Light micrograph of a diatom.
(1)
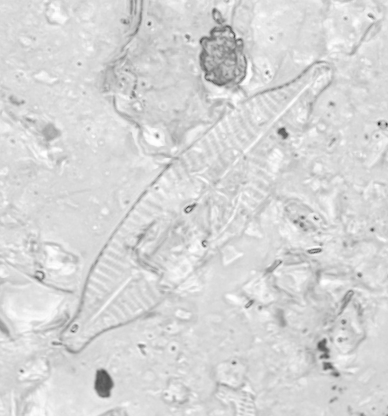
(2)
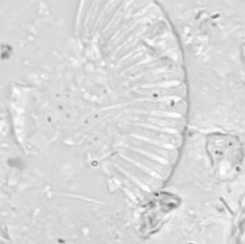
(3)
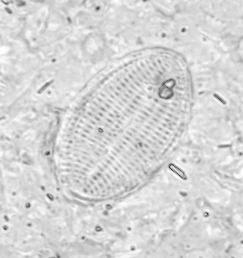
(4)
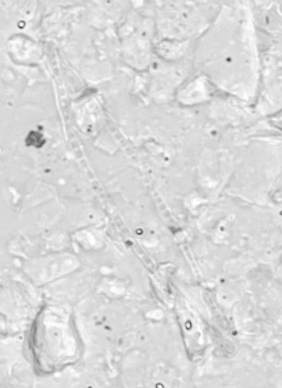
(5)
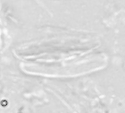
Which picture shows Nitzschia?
Picture 4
